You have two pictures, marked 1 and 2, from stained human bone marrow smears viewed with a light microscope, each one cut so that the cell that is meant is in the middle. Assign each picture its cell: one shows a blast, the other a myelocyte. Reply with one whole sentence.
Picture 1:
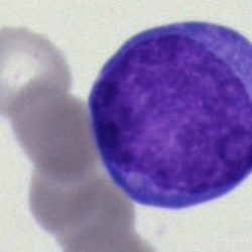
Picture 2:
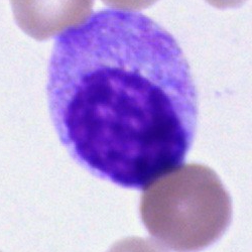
It is picture 1 that shows a blast, and picture 2 that shows a myelocyte.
